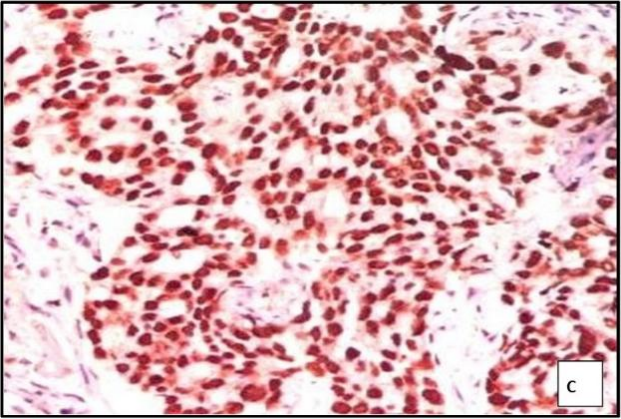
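Tumour cells are packed in nests around small gland-like spaces, and nearly all of their nuclei are stained strongly brown. The nuclei are round to oval and crowded, while the surrounding cytoplasm stays pale. At the edges, a few stromal cells in the loose connective tissue have unstained bluish nuclei.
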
